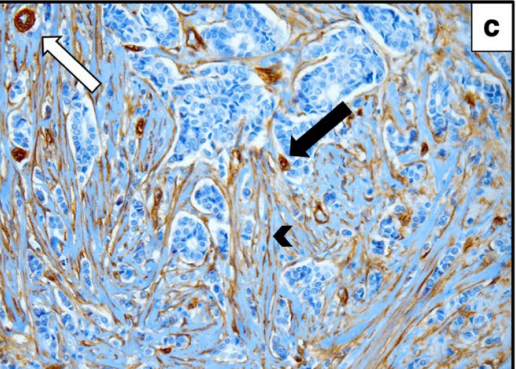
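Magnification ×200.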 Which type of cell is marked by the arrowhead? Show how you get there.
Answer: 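The arrowhead points to brown-stained spindle cells in the stroma. These spindle cells run between small nests of blue-nucleated tumour cells.
Conclusion: cancer associated fibroblasts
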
